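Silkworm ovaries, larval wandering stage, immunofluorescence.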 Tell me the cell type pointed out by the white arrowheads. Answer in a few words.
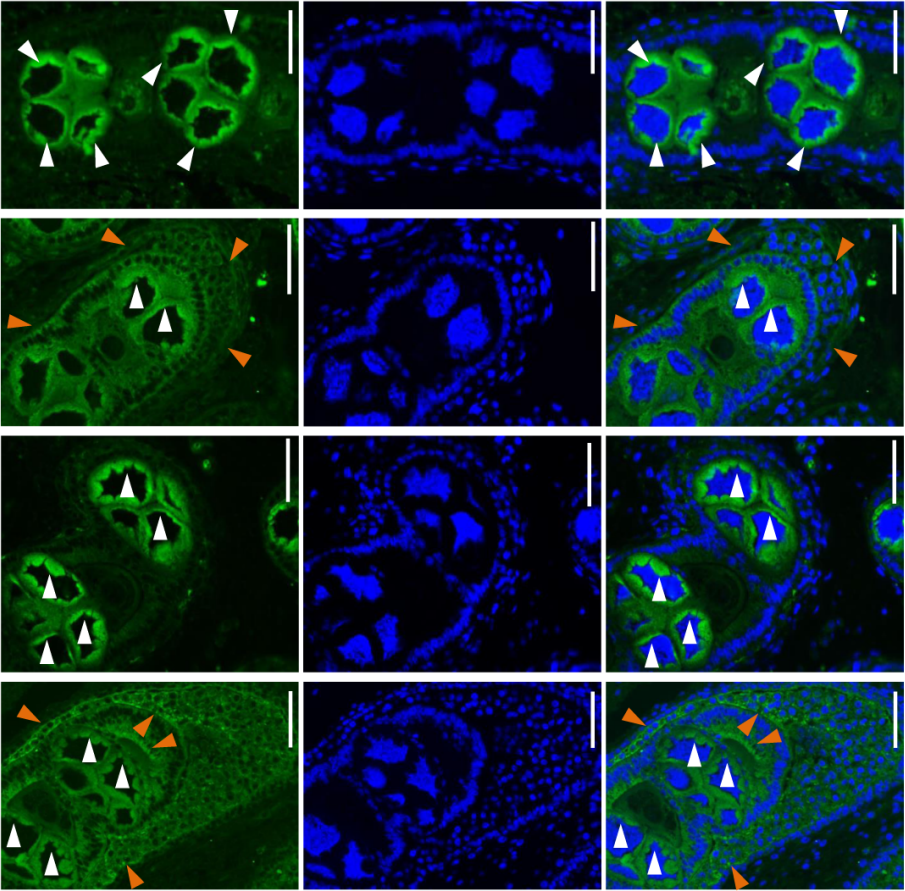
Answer: Germline lineage cells.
